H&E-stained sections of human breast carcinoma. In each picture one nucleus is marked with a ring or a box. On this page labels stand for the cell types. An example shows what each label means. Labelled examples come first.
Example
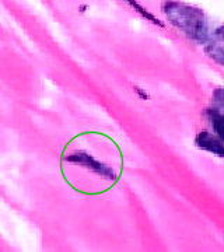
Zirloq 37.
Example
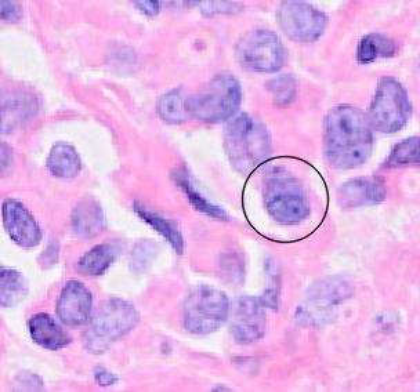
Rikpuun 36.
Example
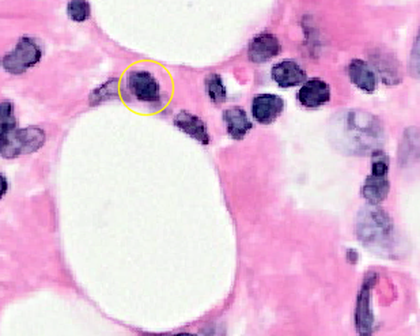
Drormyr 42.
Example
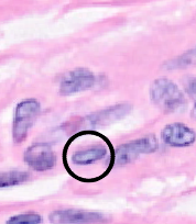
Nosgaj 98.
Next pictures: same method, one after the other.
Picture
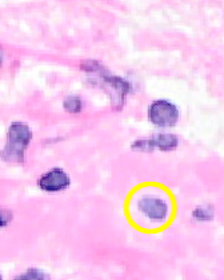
Drormyr 42.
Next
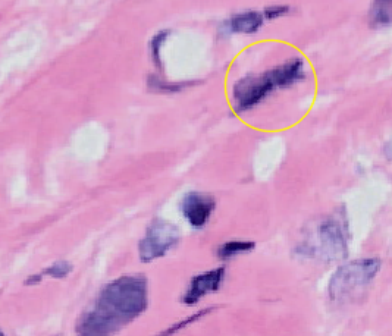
Zirloq 37.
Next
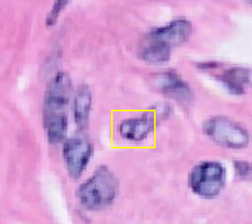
Nosgaj 98.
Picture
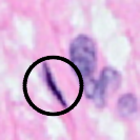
Zirloq 37.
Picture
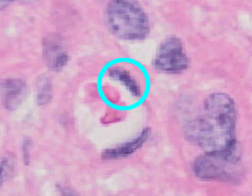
Nosgaj 98.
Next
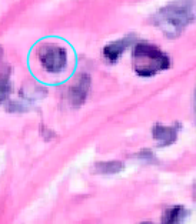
Drormyr 42.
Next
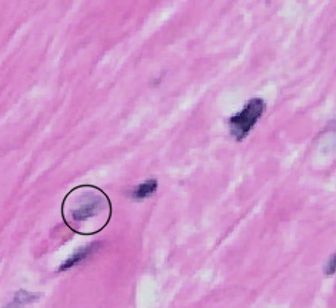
Nosgaj 98.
